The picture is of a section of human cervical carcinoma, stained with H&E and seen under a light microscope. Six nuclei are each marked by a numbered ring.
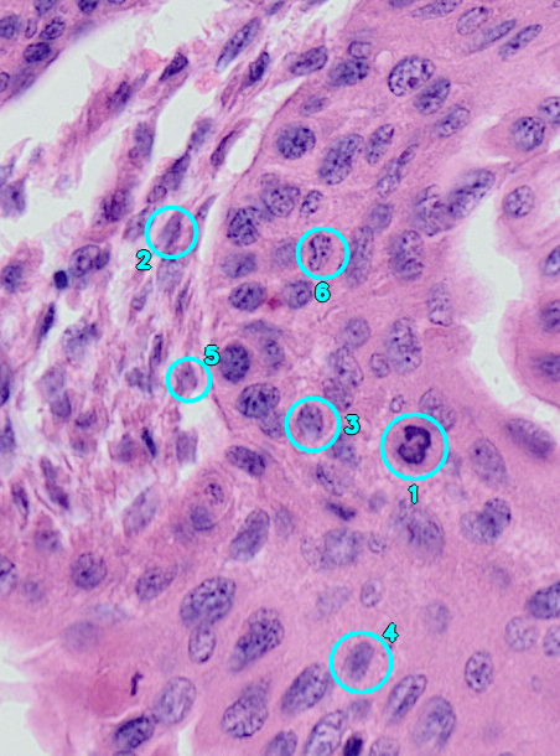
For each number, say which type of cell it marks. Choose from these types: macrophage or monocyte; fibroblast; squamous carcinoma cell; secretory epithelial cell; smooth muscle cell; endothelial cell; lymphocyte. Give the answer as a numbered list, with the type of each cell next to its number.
1. squamous carcinoma cell
2. fibroblast
3. squamous carcinoma cell
4. squamous carcinoma cell
5. fibroblast
6. squamous carcinoma cell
